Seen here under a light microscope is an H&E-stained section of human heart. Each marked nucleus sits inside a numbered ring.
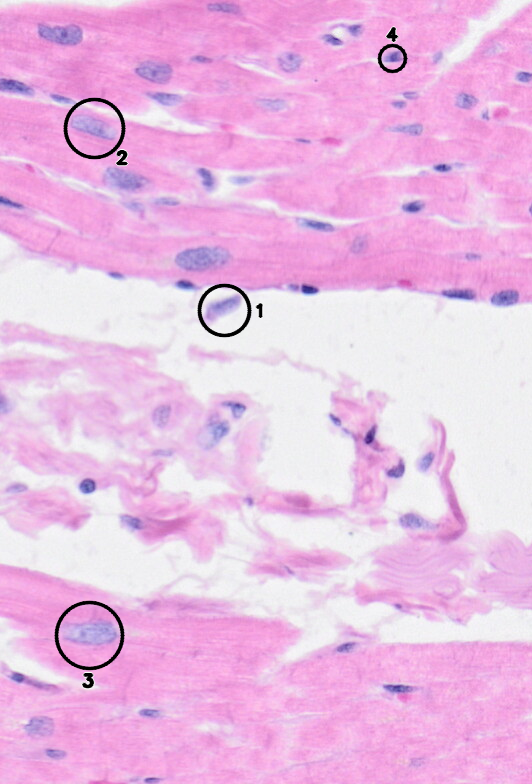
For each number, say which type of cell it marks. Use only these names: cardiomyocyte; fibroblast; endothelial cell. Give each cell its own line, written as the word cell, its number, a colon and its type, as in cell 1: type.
cell 1: fibroblast
cell 2: cardiomyocyte
cell 3: cardiomyocyte
cell 4: endothelial cell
